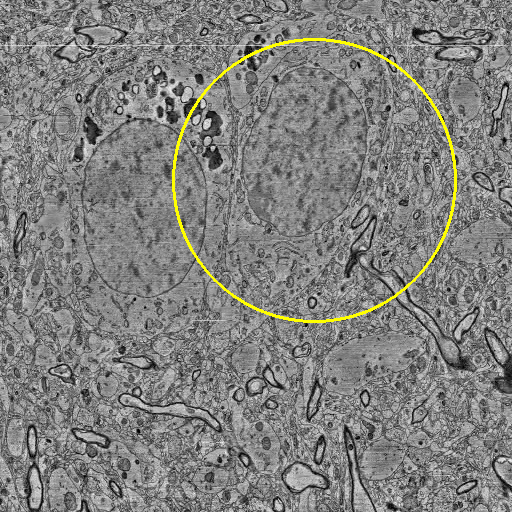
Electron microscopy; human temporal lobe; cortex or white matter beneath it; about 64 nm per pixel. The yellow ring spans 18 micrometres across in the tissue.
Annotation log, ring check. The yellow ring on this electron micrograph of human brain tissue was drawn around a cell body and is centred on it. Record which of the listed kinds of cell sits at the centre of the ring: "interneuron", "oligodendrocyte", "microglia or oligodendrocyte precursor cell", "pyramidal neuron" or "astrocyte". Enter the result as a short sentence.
The cell at the centre of the ring is an interneuron.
